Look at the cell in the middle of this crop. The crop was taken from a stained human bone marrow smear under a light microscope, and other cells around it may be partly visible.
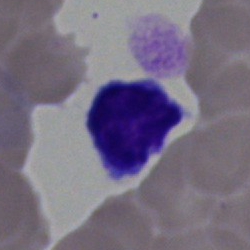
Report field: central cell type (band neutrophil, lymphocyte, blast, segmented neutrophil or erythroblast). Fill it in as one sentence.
As for the central cell, it is a lymphocyte.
